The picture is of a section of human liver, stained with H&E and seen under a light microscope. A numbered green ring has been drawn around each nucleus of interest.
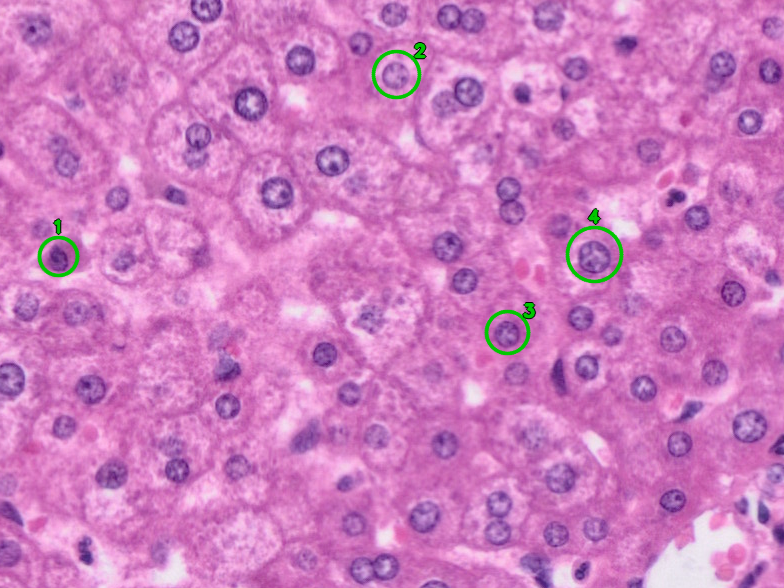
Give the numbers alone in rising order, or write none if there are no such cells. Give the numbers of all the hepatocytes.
2, 3, 4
